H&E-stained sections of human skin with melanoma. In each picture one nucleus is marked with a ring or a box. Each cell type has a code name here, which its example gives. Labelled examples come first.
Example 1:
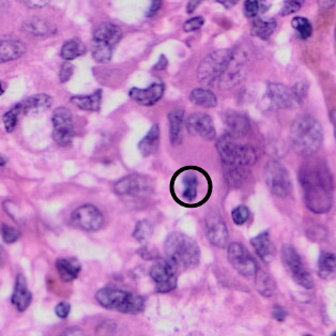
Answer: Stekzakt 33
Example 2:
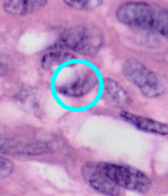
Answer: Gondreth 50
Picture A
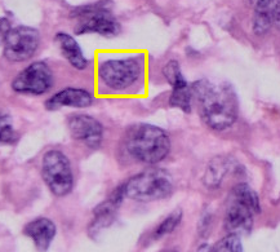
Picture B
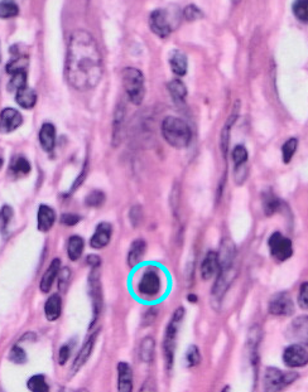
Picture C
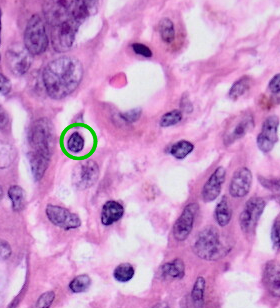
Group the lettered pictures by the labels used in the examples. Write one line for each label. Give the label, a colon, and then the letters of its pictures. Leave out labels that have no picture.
Stekzakt 33: B, C
Gondreth 50: A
